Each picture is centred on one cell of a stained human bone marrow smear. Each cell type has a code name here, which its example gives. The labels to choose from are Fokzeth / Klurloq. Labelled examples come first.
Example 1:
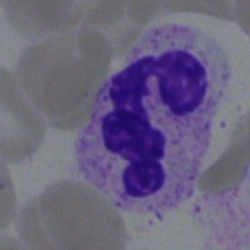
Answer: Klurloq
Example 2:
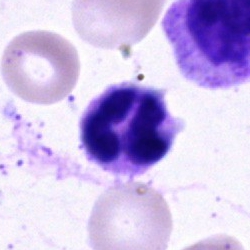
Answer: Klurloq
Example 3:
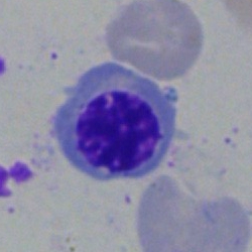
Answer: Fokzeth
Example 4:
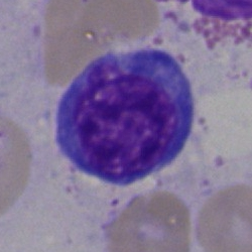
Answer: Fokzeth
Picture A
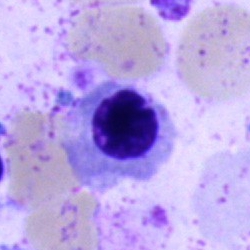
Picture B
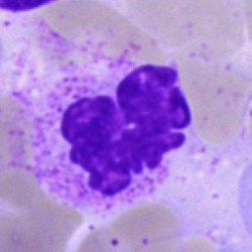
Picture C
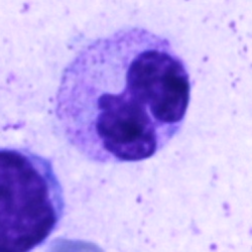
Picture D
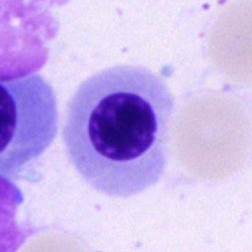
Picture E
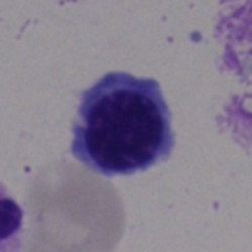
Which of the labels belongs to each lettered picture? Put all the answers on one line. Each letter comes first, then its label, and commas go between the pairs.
A Fokzeth, B Klurloq, C Klurloq, D Fokzeth, E Fokzeth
